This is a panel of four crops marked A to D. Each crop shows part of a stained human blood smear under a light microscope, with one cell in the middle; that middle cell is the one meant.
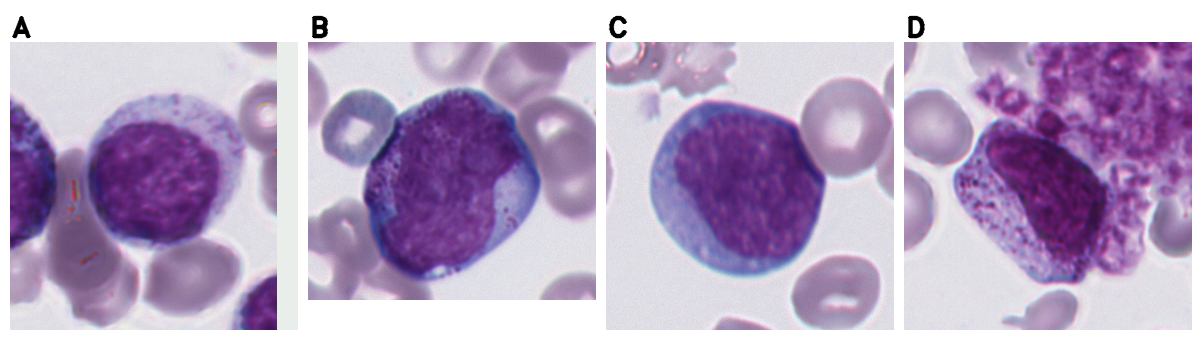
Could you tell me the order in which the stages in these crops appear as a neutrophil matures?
C, B, A, D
